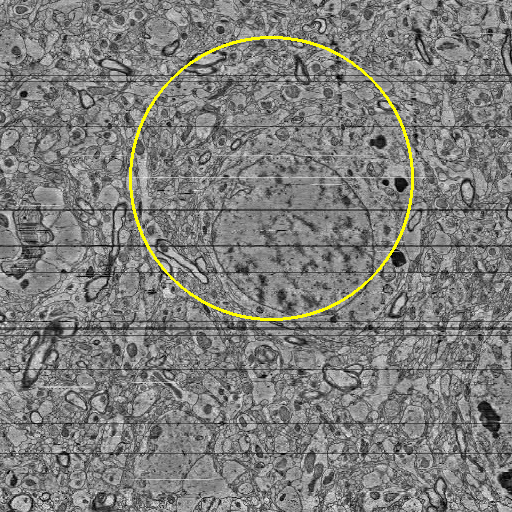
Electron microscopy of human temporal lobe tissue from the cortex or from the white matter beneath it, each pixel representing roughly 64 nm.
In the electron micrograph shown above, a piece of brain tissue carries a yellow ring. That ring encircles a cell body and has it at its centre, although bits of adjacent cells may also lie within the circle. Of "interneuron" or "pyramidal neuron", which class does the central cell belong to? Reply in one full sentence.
The cell body at the centre of the yellow ring belongs to a pyramidal neuron.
